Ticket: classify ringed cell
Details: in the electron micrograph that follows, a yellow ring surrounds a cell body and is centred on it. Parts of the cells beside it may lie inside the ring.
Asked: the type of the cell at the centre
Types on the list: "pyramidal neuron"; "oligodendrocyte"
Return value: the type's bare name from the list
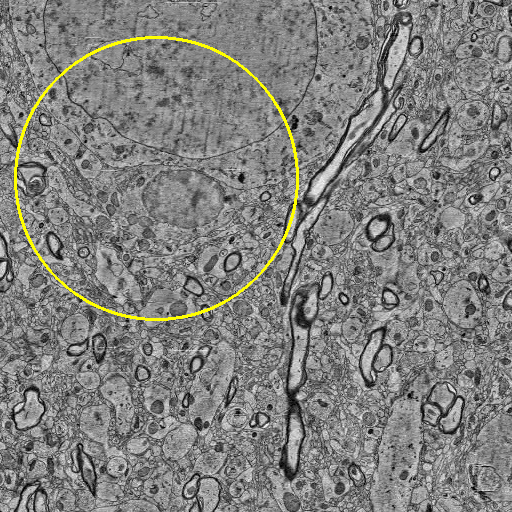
oligodendrocyte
